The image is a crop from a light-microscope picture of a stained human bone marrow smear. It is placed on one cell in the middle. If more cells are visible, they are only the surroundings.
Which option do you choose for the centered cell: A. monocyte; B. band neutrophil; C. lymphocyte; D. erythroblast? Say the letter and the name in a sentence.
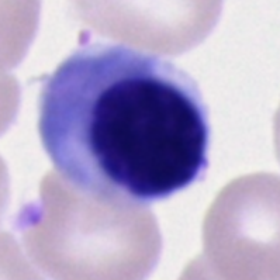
The cell in the centre of the crop is an erythroblast, so option D is the correct one.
